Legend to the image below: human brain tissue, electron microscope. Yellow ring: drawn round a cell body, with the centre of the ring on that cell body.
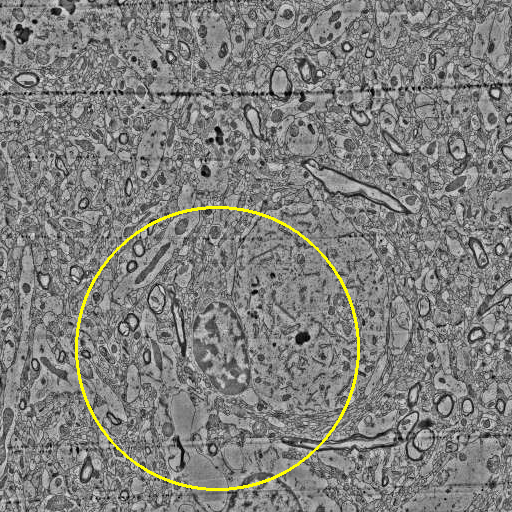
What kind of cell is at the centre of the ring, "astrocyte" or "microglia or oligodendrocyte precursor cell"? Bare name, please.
microglia or oligodendrocyte precursor cell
